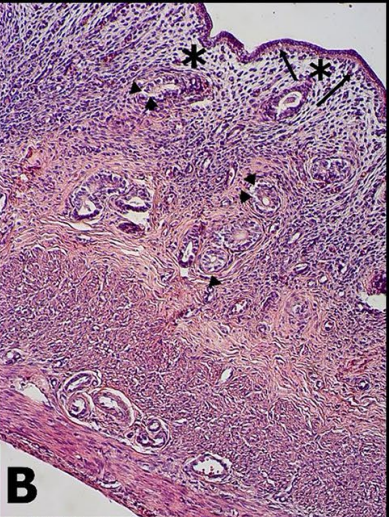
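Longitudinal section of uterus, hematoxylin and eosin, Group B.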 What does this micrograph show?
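This section of uterine endometrium shows surface epithelium, glands and stroma over a band of smooth muscle at the bottom. Just beneath the surface the stroma is pale and loose, with stromal cells spread apart, a picture of edema. Endometrial glands sectioned in several planes lie scattered through the stroma, some with pale, irregular lining cells. The lining epithelium of the lumen forms a thin row of cells along the upper surface.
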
